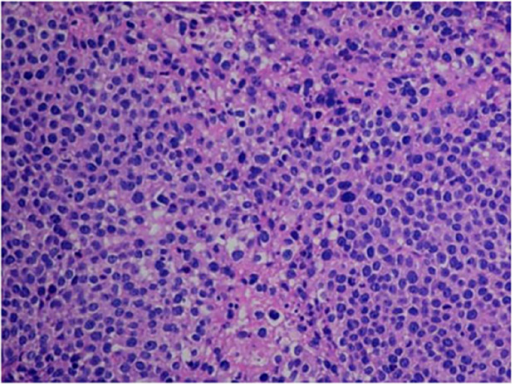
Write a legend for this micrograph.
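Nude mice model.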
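This is tumor tissue made of a large number of abnormal cells, packed closely together in solid sheets without any orderly normal architecture. Paler pink patches with small clear spaces lie scattered between the crowded cells.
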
